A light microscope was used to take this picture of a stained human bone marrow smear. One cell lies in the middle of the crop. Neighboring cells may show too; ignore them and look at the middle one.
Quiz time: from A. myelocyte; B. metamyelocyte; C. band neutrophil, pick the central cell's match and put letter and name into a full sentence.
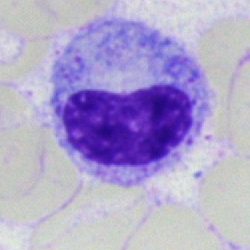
As the central cell is a metamyelocyte, option B is correct.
